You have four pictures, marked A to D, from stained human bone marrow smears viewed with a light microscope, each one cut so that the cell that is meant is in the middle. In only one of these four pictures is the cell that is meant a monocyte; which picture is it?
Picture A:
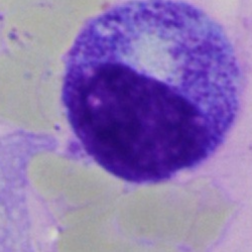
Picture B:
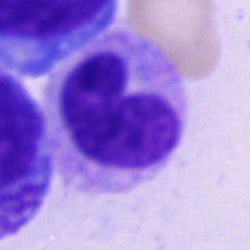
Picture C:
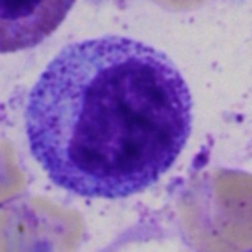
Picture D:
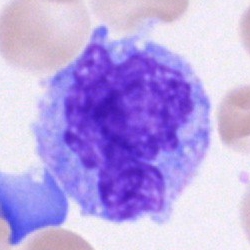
D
